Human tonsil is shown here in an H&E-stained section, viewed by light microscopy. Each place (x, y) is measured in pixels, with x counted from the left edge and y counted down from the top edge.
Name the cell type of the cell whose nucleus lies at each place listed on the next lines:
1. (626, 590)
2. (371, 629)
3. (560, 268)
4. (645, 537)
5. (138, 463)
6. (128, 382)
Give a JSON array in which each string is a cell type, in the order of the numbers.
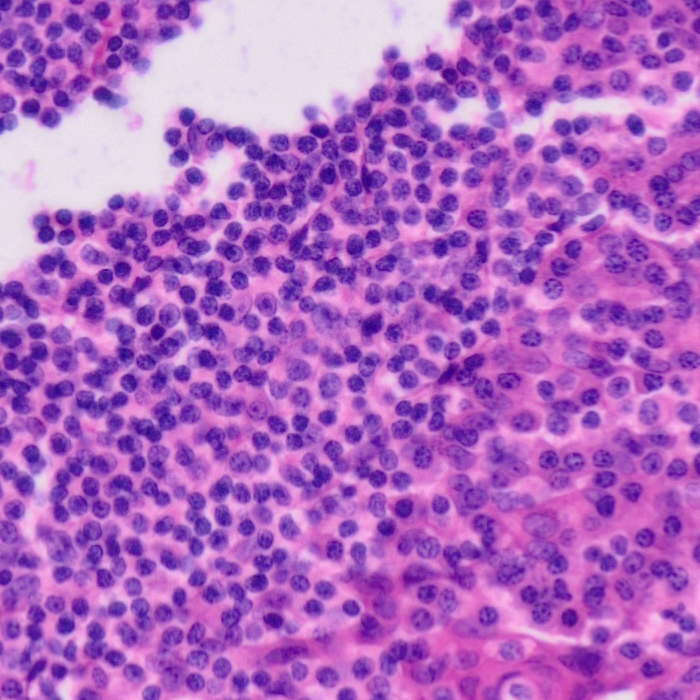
["plasma cell", "squamous epithelial cell", "plasma cell", "plasma cell", "small lymphocyte", "small lymphocyte"]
